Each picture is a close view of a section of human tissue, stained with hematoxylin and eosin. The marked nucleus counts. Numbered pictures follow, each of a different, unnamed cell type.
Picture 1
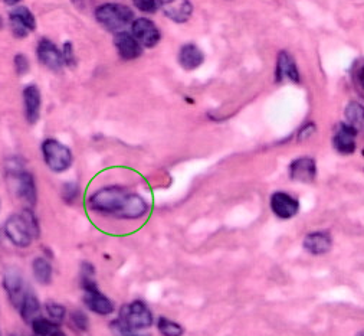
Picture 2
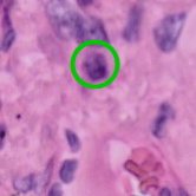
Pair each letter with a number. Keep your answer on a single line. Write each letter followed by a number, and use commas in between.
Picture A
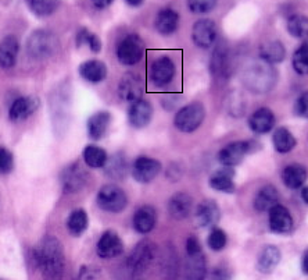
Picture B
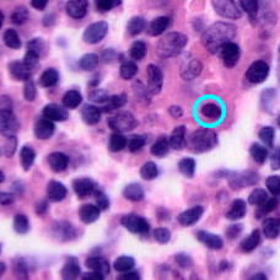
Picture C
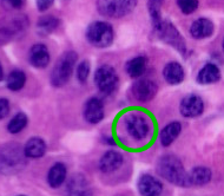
A 2, B 1, C 2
